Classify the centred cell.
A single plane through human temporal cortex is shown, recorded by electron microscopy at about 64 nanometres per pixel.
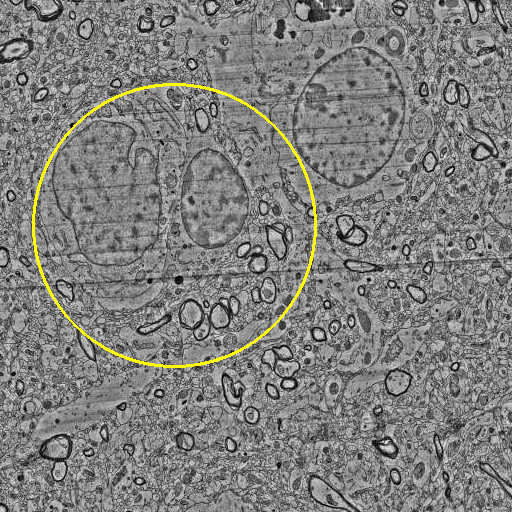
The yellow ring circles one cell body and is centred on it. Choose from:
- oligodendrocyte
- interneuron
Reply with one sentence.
The ring is centred on an oligodendrocyte.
